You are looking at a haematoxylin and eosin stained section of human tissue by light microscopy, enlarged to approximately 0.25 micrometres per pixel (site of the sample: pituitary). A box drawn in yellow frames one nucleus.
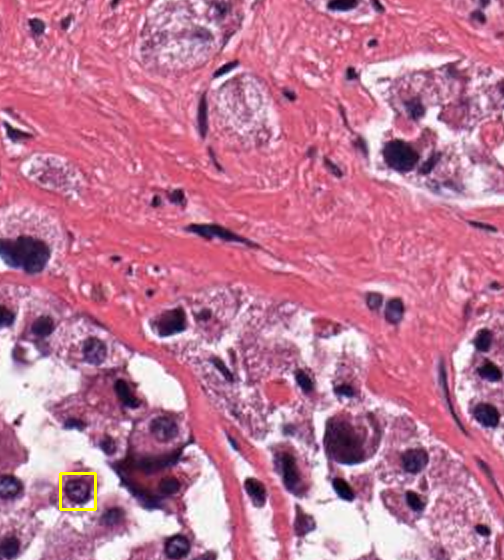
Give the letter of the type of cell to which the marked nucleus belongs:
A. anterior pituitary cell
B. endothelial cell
A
